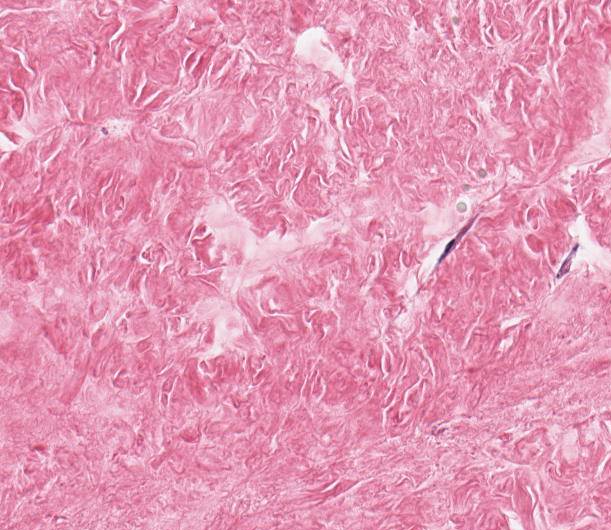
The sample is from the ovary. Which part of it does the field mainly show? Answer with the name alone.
corpus albicans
